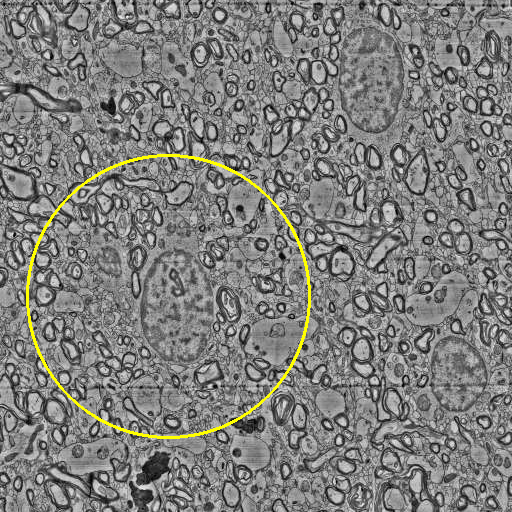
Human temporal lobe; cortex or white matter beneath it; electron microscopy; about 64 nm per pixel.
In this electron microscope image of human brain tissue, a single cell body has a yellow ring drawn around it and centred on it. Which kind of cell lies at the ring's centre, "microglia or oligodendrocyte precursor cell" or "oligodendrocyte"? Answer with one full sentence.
It is an oligodendrocyte whose cell body lies at the centre of the yellow ring here.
